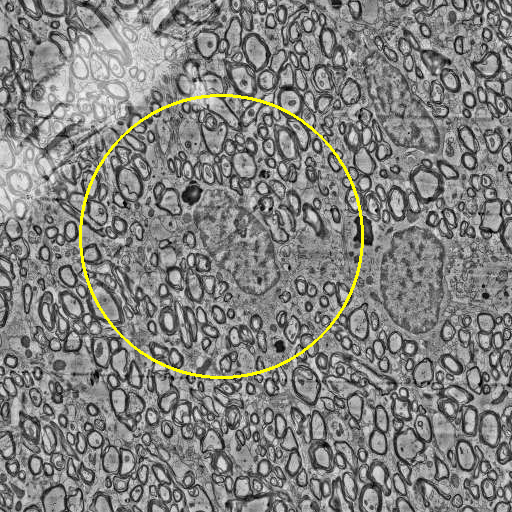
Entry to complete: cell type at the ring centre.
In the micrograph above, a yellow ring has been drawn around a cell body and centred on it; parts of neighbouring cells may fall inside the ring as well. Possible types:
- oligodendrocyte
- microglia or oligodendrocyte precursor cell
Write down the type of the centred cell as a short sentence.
The ring is centred on an oligodendrocyte.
